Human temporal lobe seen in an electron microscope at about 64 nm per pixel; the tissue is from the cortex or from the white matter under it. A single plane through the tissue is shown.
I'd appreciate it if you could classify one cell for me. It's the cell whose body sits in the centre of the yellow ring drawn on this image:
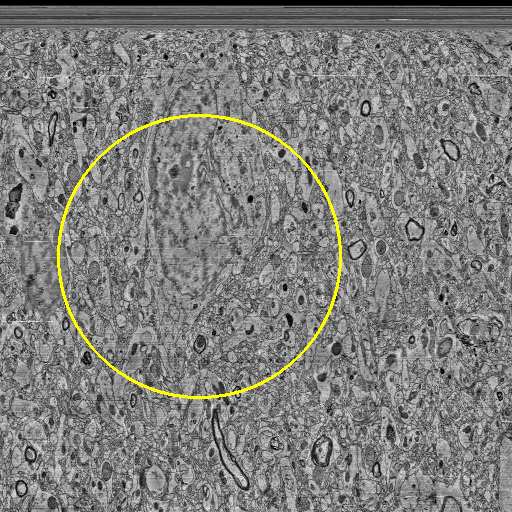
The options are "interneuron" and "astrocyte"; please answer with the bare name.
interneuron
